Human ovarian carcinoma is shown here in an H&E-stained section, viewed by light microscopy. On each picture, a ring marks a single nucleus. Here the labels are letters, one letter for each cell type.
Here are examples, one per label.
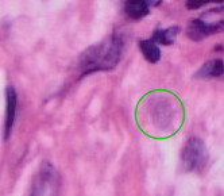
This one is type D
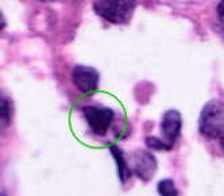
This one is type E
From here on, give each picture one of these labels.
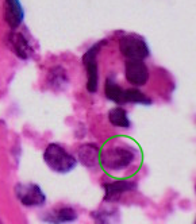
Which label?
type E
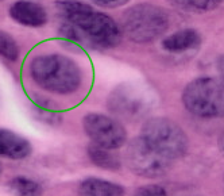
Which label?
type E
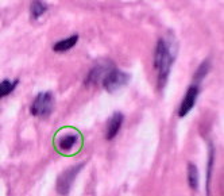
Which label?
type D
